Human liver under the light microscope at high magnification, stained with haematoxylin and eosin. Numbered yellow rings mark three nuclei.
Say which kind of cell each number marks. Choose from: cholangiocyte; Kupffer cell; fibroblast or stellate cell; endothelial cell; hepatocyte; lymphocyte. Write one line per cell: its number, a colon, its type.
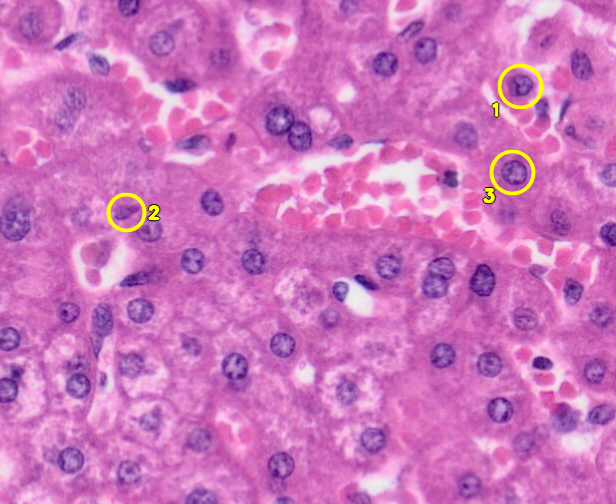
1: Kupffer cell
2: fibroblast or stellate cell
3: hepatocyte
